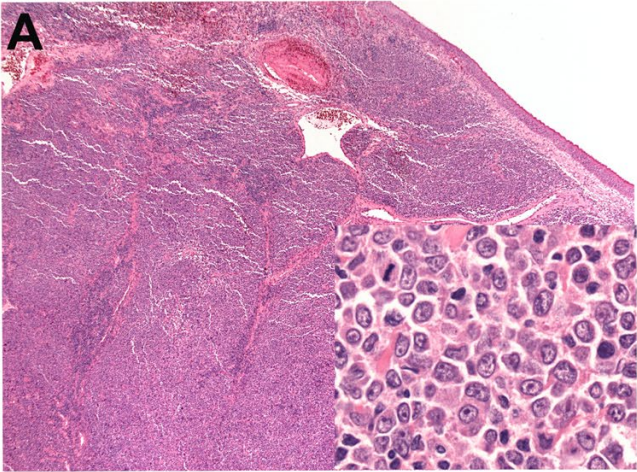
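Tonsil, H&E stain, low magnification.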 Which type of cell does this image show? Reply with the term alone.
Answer: Centroblast-like cells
